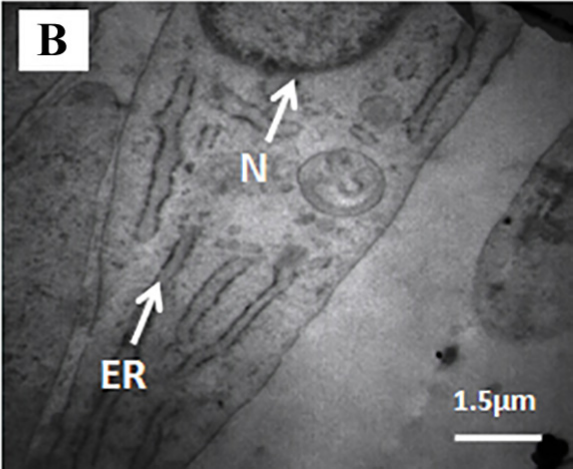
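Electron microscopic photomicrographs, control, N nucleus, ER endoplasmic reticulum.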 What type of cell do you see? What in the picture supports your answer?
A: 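Elongated, spindle-shaped cell bodies lie side by side. Cytoplasm holds long parallel cisternae of endoplasmic reticulum. An oval nucleus sits within the elongated cell.
Answer: fibroblasts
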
